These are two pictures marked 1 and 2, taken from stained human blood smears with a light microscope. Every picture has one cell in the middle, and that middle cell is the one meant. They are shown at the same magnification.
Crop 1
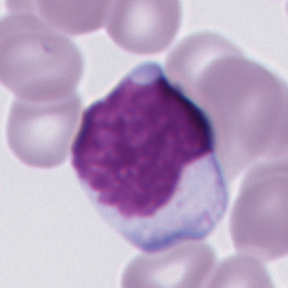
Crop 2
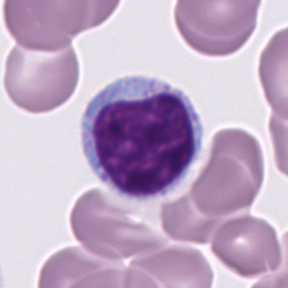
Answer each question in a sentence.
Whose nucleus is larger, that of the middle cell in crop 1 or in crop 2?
Larger is the nucleus in crop 1, at roughly 1.5 times the area of the other.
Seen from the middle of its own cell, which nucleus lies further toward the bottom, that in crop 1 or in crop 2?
In crop 2 the nucleus is shifted more toward the bottom.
